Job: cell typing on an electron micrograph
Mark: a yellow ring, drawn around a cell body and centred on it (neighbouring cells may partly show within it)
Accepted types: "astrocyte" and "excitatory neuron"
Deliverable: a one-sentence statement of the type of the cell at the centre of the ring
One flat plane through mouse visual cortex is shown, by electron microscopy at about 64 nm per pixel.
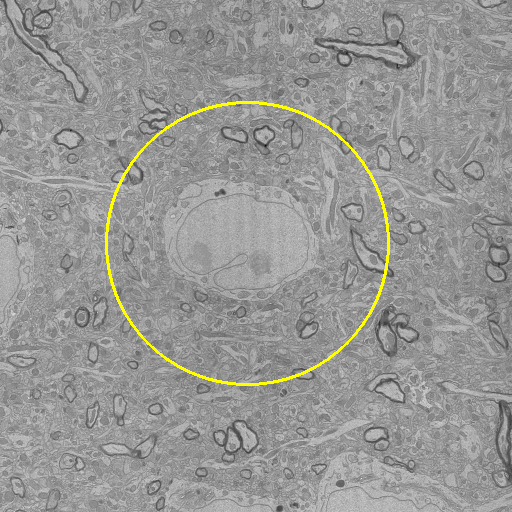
The centred cell body is that of an excitatory neuron.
